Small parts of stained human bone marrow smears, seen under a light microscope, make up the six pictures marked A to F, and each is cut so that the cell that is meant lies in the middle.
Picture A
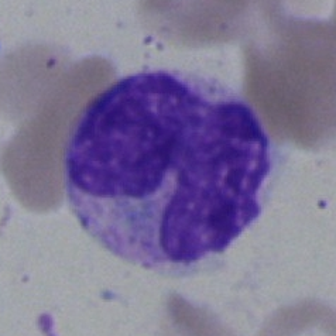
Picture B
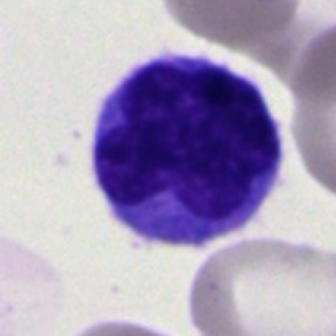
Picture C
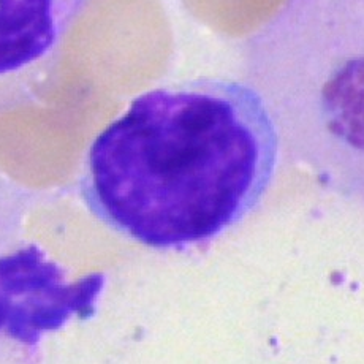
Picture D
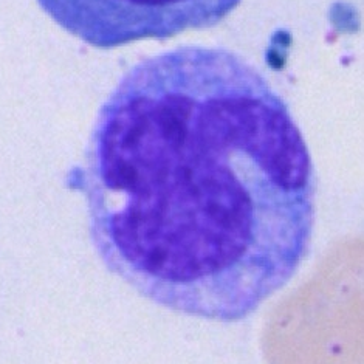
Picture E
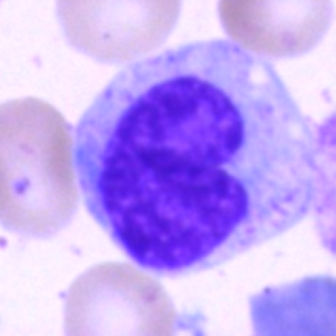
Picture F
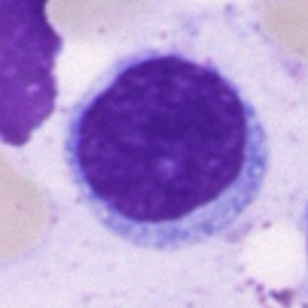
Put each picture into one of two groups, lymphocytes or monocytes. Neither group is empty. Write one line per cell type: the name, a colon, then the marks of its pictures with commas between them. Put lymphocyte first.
lymphocyte: B, C, F
monocyte: A, D, E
